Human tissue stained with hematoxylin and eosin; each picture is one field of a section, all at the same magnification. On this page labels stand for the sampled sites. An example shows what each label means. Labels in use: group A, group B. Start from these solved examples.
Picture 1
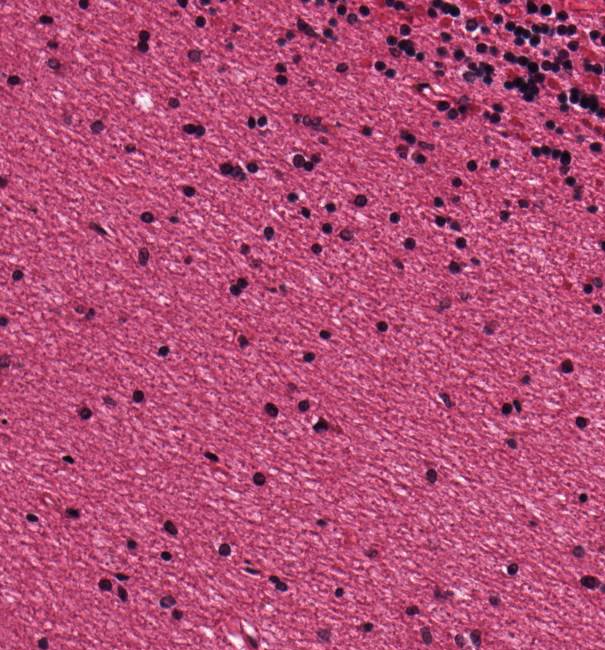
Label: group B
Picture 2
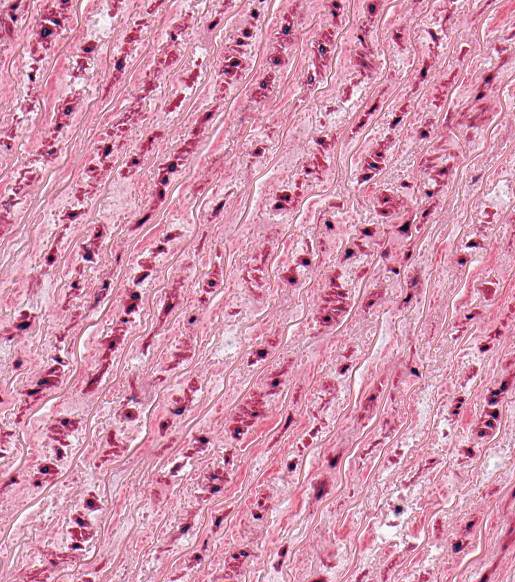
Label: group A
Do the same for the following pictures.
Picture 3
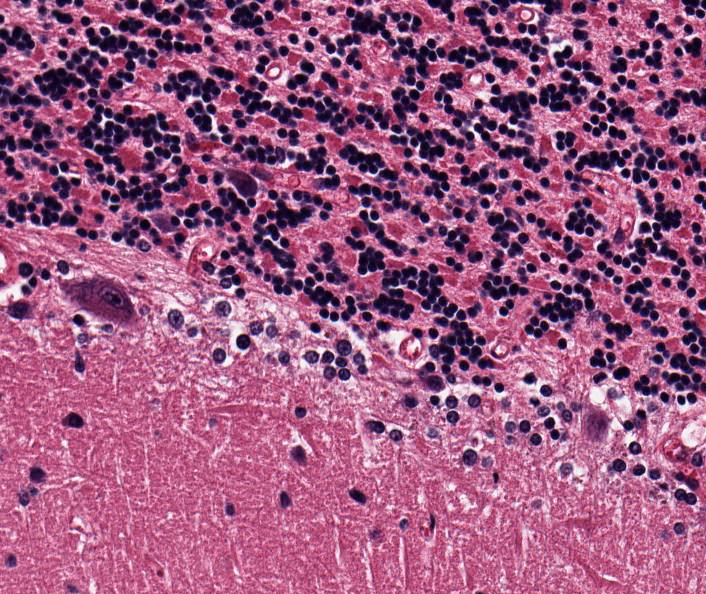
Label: group B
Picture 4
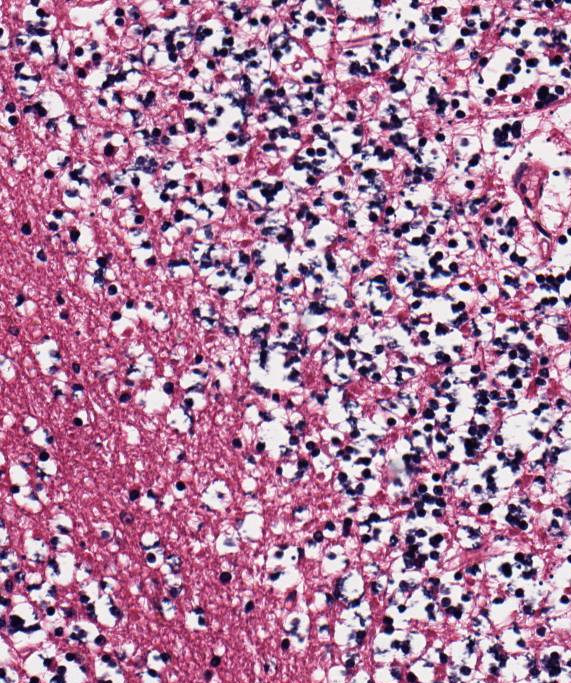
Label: group B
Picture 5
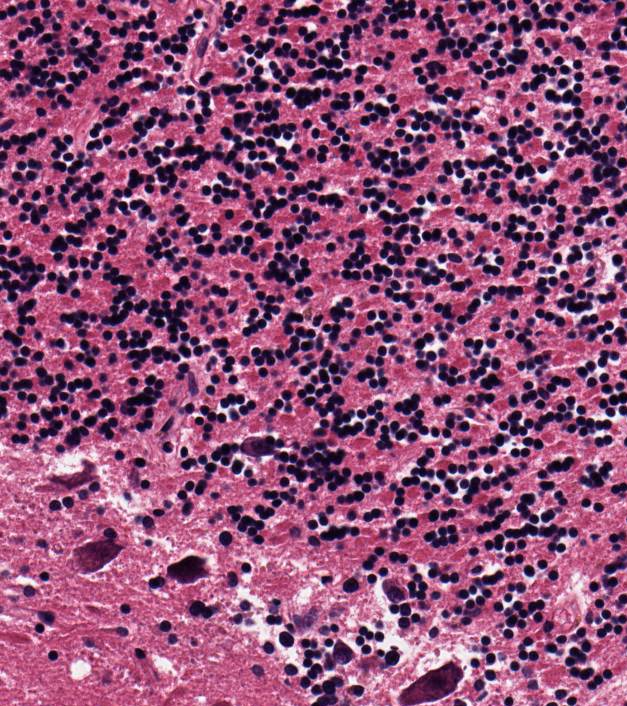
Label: group B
